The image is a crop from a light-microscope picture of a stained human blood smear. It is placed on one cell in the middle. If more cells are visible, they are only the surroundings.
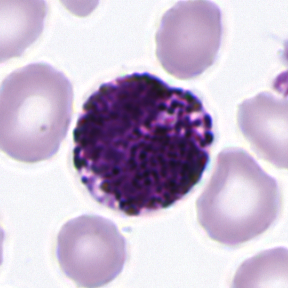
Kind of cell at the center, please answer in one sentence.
In short, the cell at the center is a basophil.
